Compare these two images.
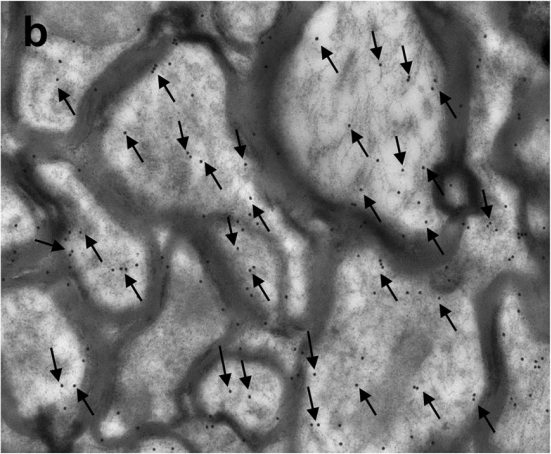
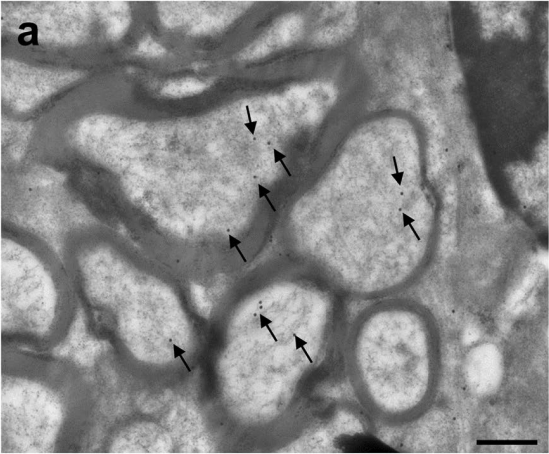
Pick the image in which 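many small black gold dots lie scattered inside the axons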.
The first image.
